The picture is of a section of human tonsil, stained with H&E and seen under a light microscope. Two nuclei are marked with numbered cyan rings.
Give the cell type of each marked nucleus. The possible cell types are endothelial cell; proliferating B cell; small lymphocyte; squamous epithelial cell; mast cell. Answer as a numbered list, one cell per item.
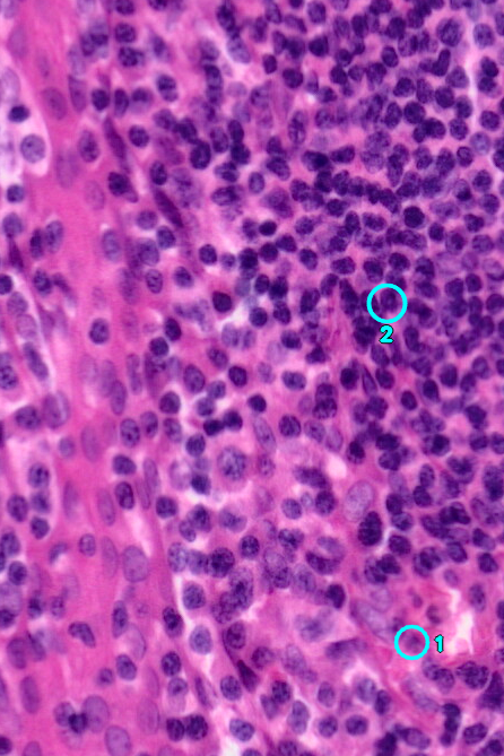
1. endothelial cell
2. small lymphocyte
